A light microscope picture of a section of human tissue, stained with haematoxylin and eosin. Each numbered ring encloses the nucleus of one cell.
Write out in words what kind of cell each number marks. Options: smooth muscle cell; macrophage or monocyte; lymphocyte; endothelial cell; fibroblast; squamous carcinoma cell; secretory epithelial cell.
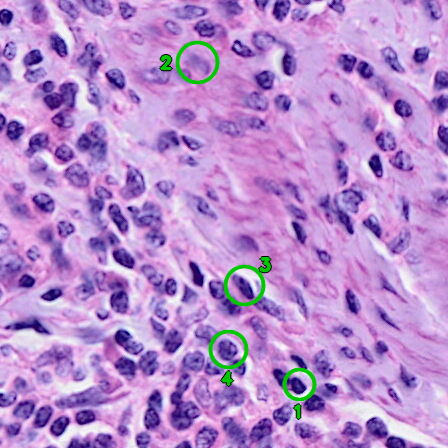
Cell 1 is a lymphocyte, cell 2 is a smooth muscle cell, cell 3 is a lymphocyte and cell 4 is a lymphocyte.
